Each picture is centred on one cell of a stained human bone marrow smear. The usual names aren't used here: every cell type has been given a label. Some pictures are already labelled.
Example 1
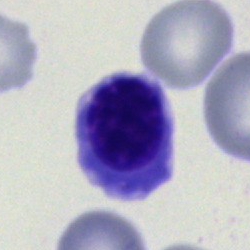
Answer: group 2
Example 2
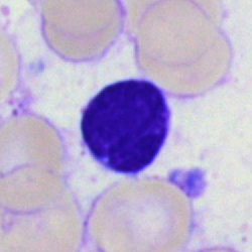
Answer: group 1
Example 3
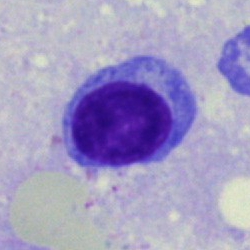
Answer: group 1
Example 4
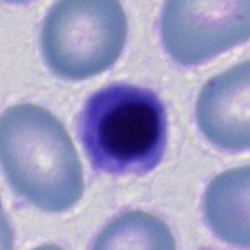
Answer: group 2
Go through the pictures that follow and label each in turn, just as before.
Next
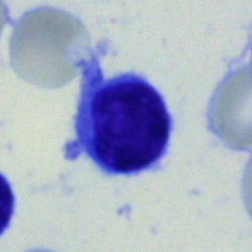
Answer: group 1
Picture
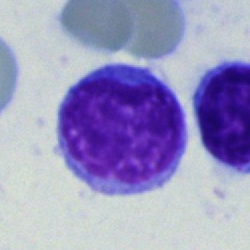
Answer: group 1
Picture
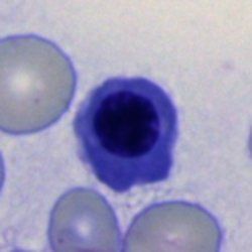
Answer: group 2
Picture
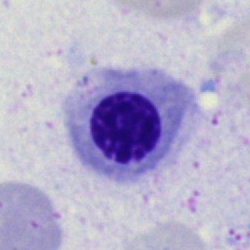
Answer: group 2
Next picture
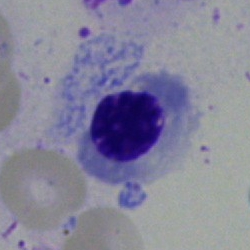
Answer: group 2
